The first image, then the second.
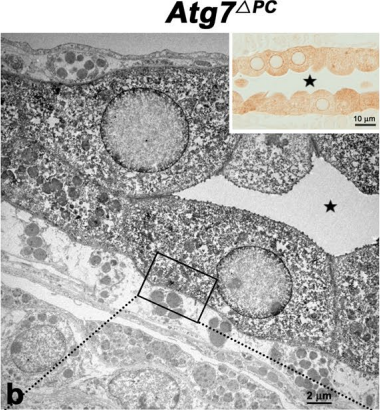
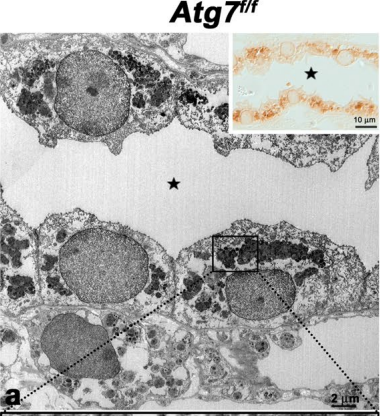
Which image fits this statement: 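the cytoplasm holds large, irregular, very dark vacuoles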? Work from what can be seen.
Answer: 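First image: the epithelial cytoplasm is finely granular with only small round grey bodies. Second image: the epithelial cytoplasm contains large irregular black clumps beside the nuclei. On this evidence: the second image.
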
